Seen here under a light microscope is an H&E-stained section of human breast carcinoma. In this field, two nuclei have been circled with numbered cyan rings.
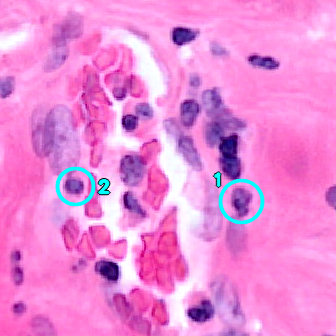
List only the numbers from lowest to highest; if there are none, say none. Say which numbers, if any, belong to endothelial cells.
2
